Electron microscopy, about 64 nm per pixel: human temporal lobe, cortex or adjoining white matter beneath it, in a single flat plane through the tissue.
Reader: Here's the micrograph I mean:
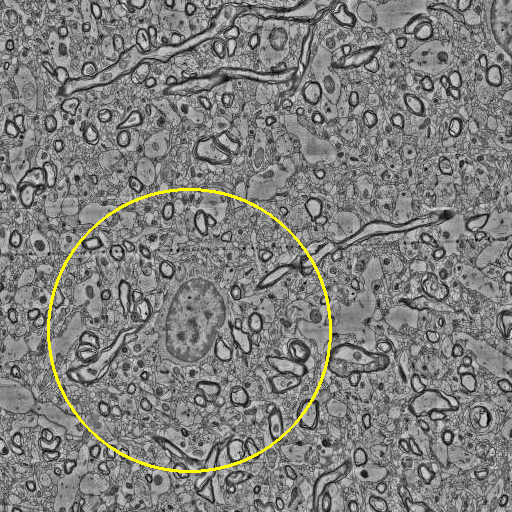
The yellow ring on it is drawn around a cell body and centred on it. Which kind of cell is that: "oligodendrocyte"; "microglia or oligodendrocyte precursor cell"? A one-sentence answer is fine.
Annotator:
The ring is centred on an oligodendrocyte.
